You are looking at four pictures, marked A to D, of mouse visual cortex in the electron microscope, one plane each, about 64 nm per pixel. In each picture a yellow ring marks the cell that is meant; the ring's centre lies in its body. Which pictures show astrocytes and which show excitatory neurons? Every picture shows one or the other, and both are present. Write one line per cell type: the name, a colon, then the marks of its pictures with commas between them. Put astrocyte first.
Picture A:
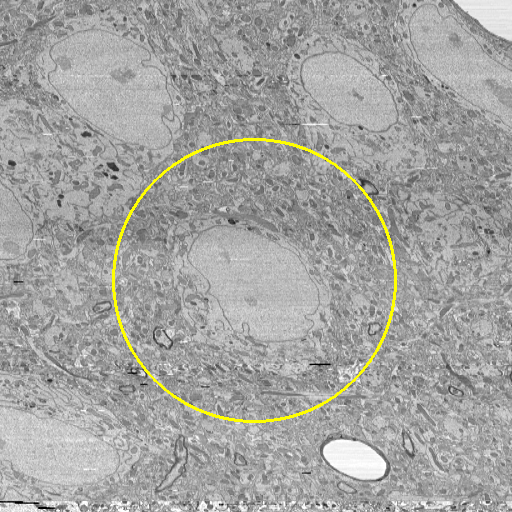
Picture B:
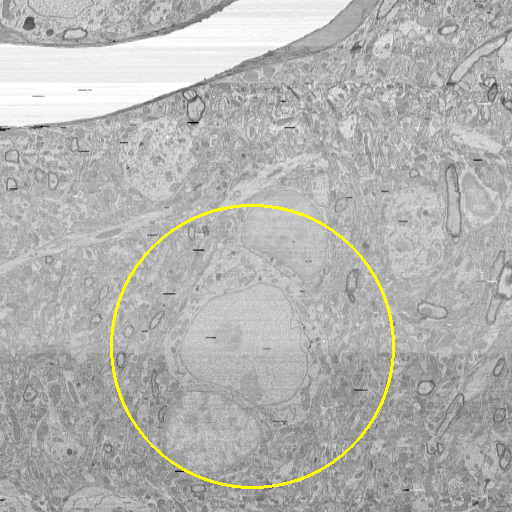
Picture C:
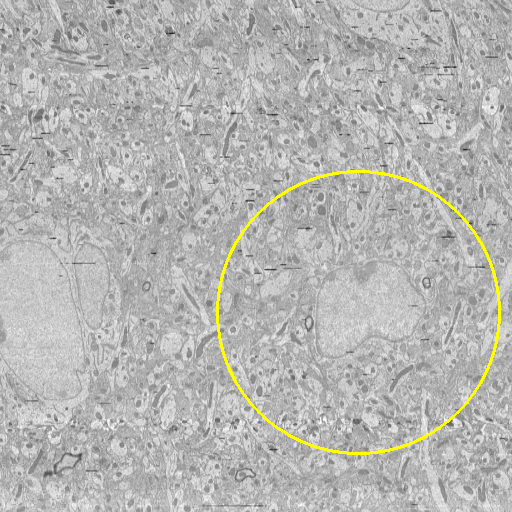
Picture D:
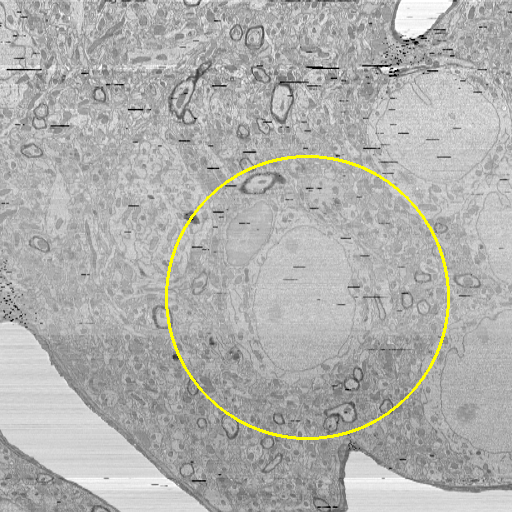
astrocyte: C
excitatory neuron: A, B, D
